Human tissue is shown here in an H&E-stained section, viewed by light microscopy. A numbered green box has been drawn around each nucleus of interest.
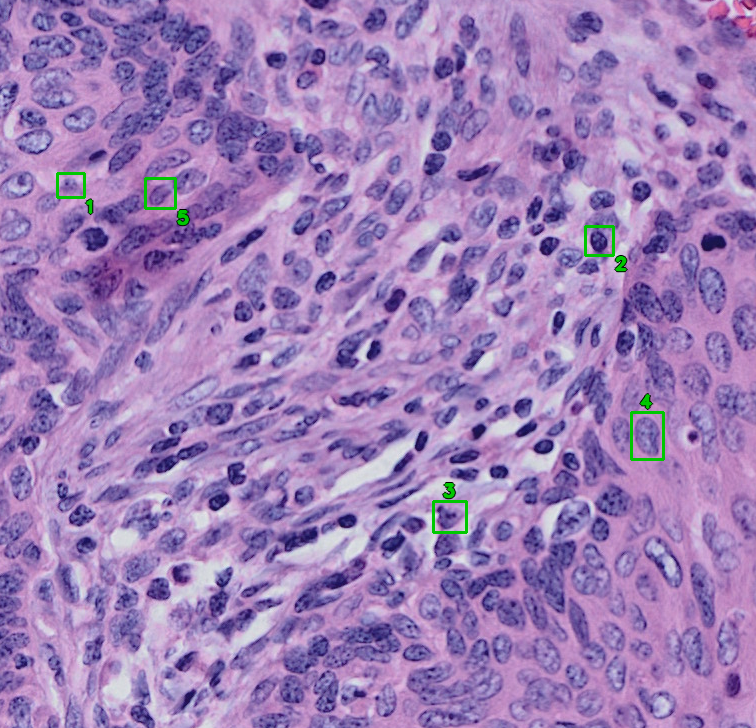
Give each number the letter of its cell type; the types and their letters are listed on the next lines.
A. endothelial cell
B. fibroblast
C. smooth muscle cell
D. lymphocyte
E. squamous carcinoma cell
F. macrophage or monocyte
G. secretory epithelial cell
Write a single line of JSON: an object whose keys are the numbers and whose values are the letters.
{"1": "E", "2": "D", "3": "F", "4": "E", "5": "E"}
